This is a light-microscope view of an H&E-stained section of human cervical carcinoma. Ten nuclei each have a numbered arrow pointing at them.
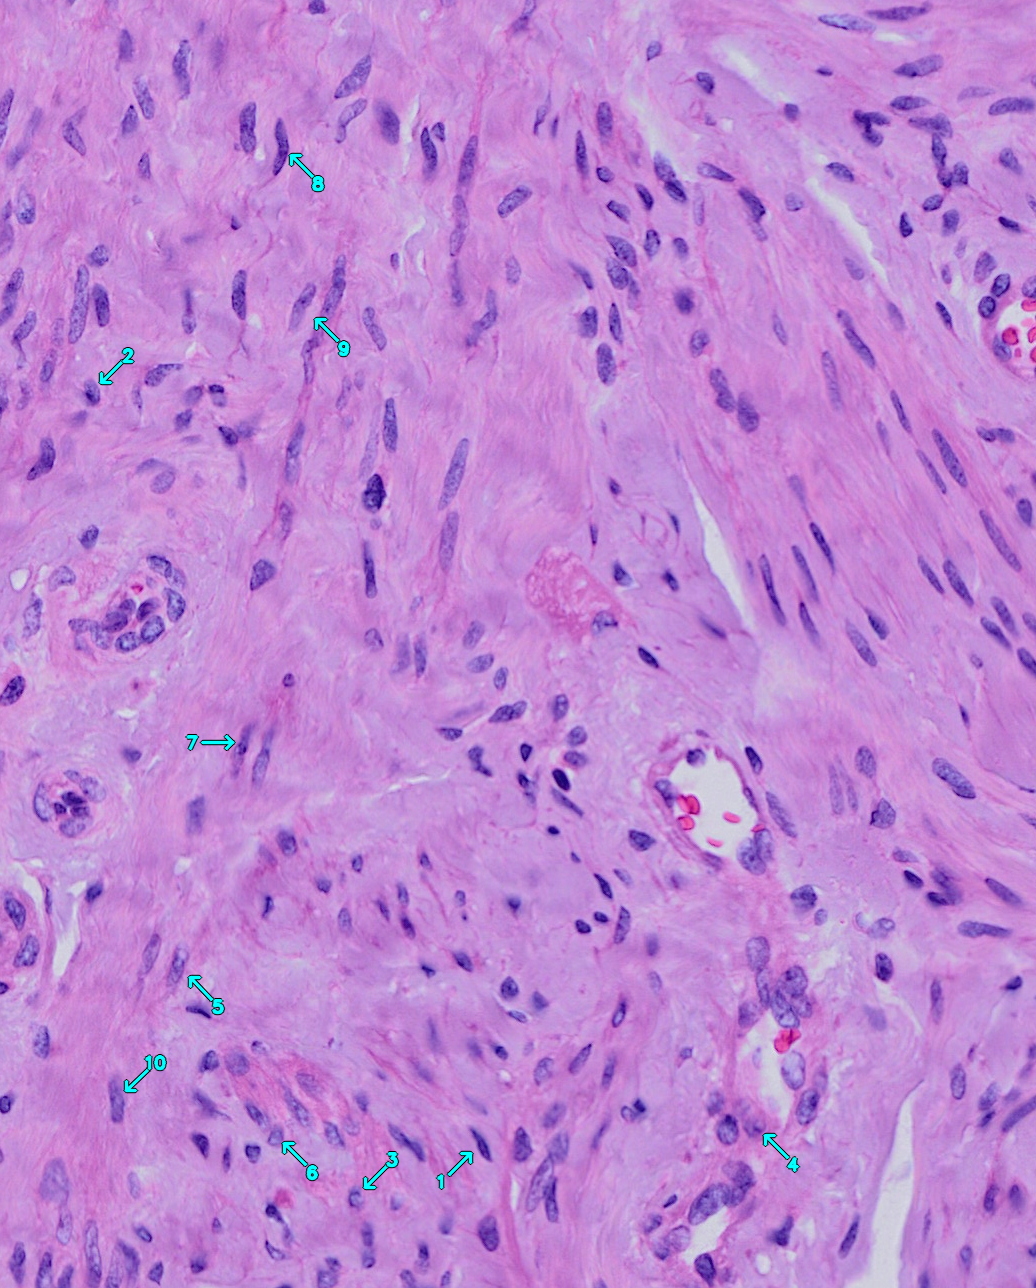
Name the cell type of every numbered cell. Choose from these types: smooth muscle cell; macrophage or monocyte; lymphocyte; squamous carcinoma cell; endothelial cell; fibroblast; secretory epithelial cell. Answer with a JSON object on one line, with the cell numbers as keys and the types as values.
{"1": "fibroblast", "2": "fibroblast", "3": "smooth muscle cell", "4": "endothelial cell", "5": "smooth muscle cell", "6": "smooth muscle cell", "7": "smooth muscle cell", "8": "fibroblast", "9": "fibroblast", "10": "fibroblast"}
